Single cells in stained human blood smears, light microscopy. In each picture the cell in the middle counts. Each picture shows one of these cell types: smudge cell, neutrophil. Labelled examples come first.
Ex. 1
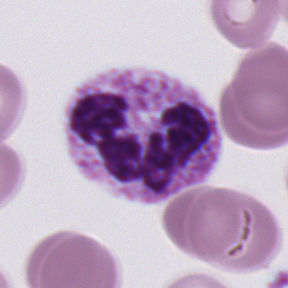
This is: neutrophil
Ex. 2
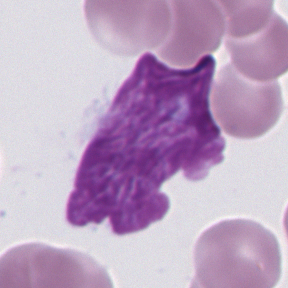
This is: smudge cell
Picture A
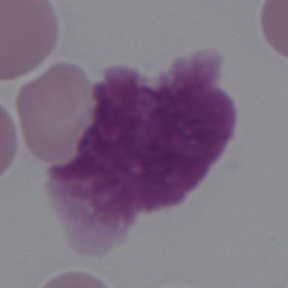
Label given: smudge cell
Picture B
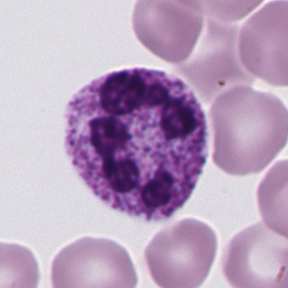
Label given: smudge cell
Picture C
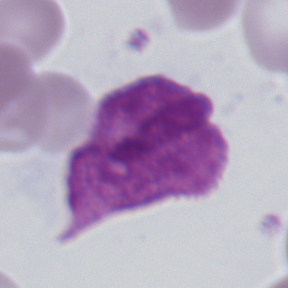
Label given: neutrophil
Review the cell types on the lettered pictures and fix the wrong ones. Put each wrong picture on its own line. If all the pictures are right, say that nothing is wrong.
B should be neutrophil, not smudge cell
C should be smudge cell, not neutrophil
